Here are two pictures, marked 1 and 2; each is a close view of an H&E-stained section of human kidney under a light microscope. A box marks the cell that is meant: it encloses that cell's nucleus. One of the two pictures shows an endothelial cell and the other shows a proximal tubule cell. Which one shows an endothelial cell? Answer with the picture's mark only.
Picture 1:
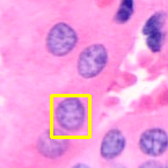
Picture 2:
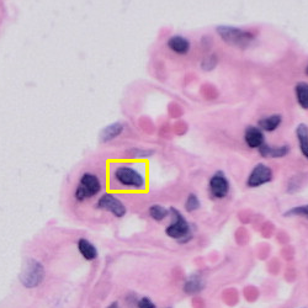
2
